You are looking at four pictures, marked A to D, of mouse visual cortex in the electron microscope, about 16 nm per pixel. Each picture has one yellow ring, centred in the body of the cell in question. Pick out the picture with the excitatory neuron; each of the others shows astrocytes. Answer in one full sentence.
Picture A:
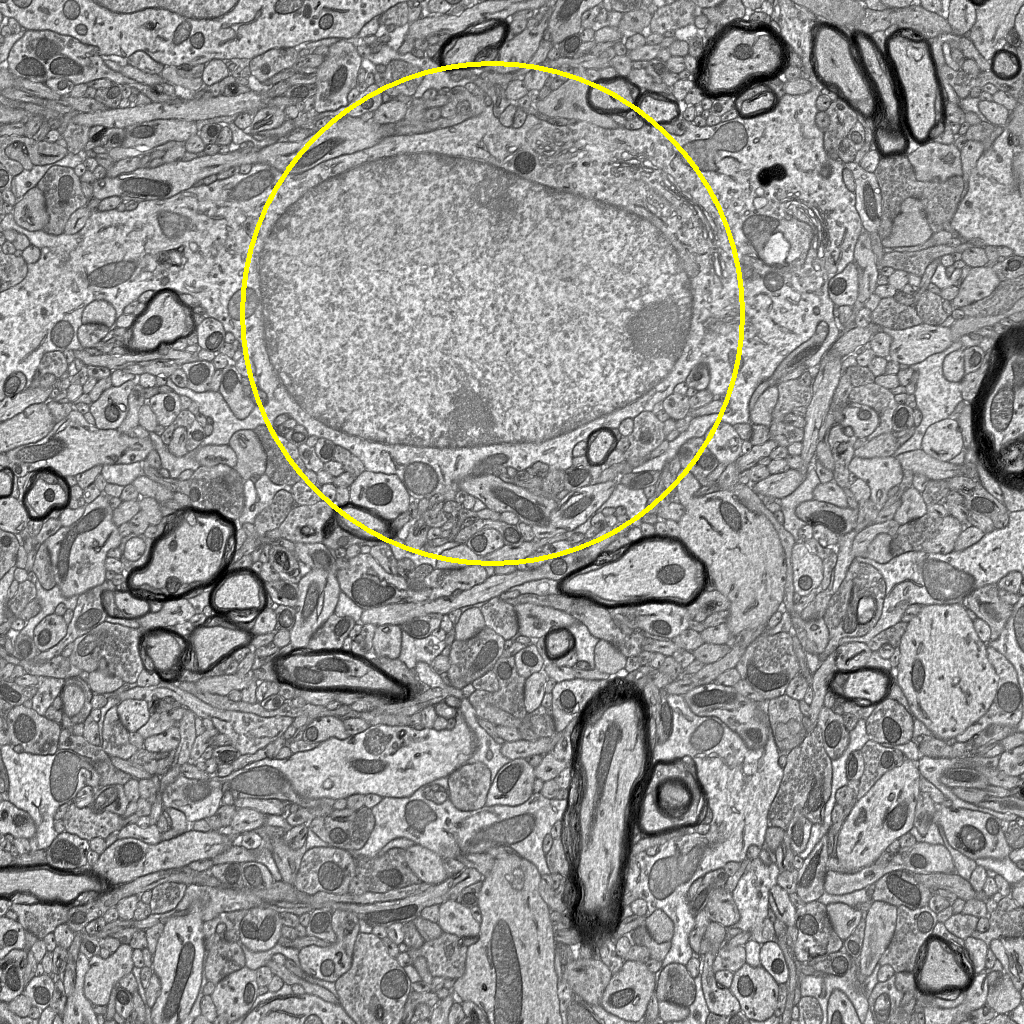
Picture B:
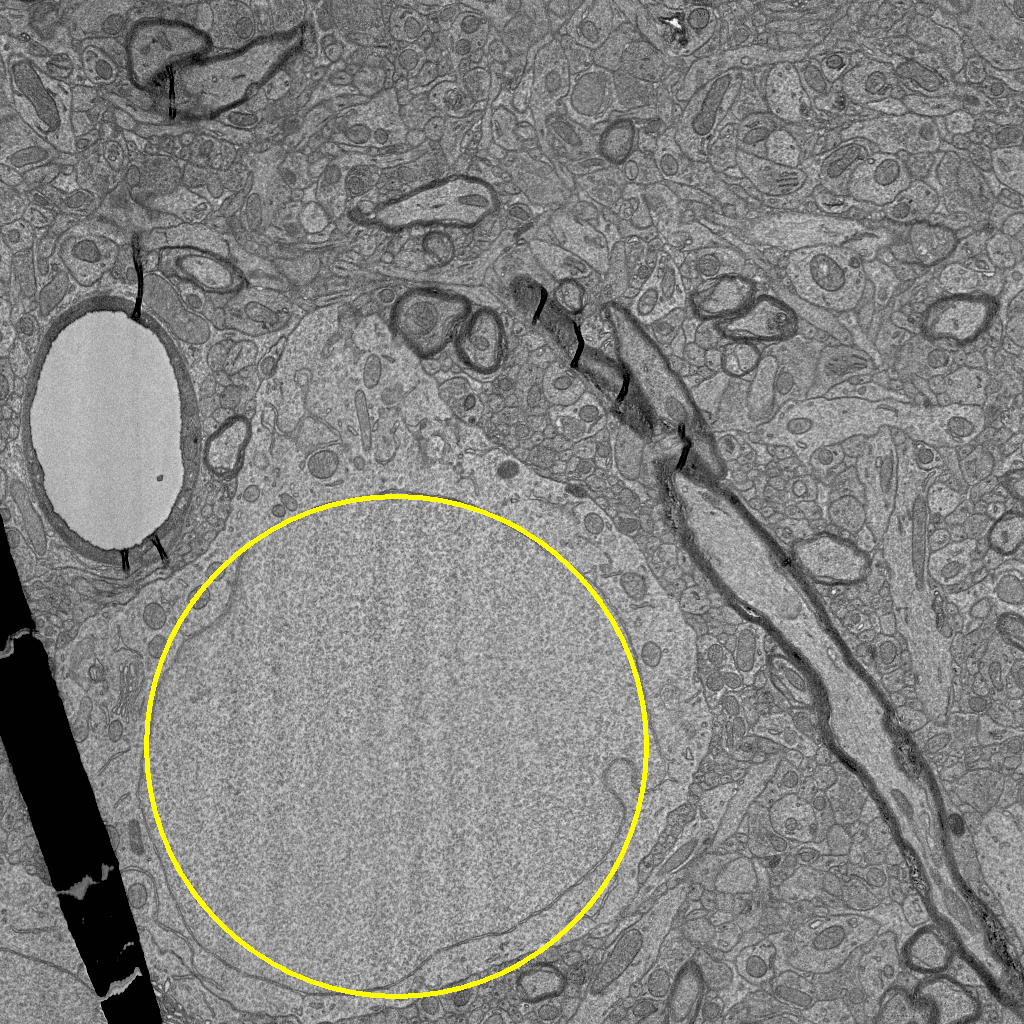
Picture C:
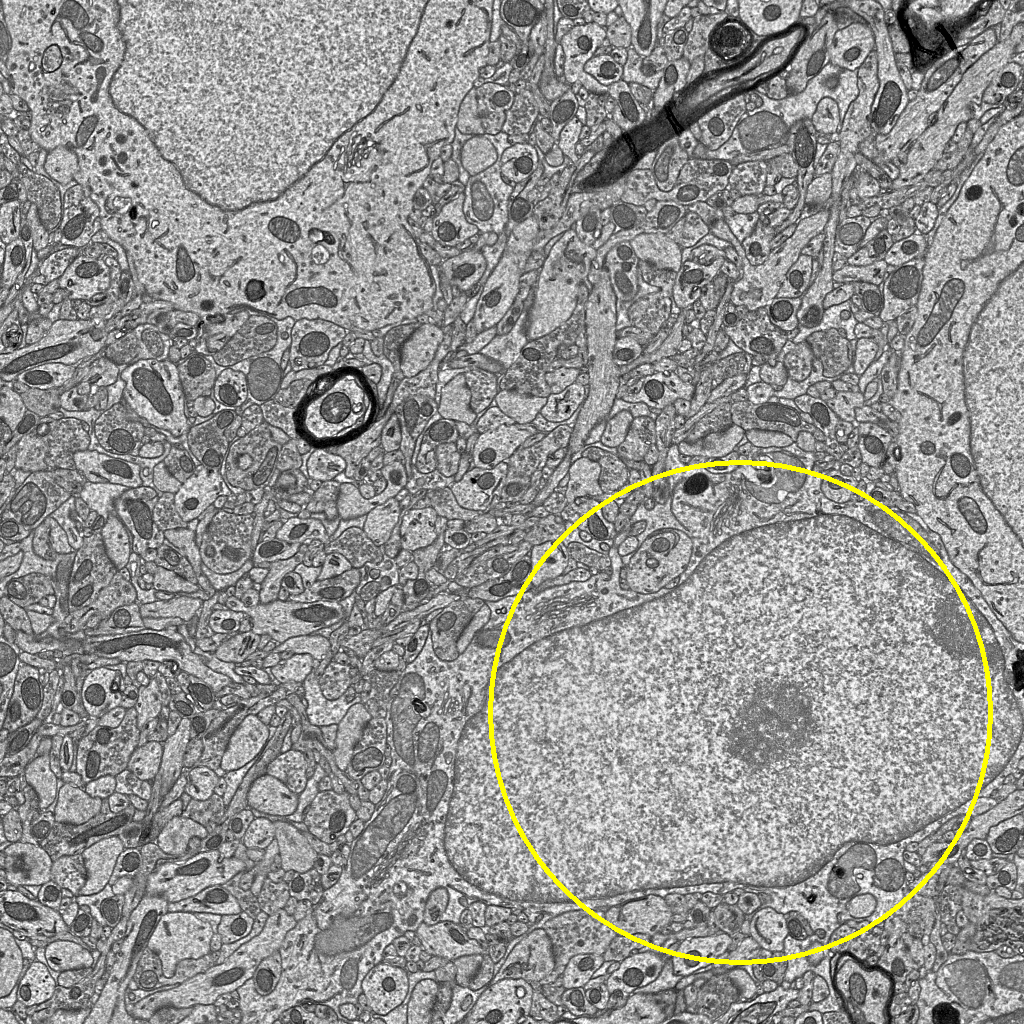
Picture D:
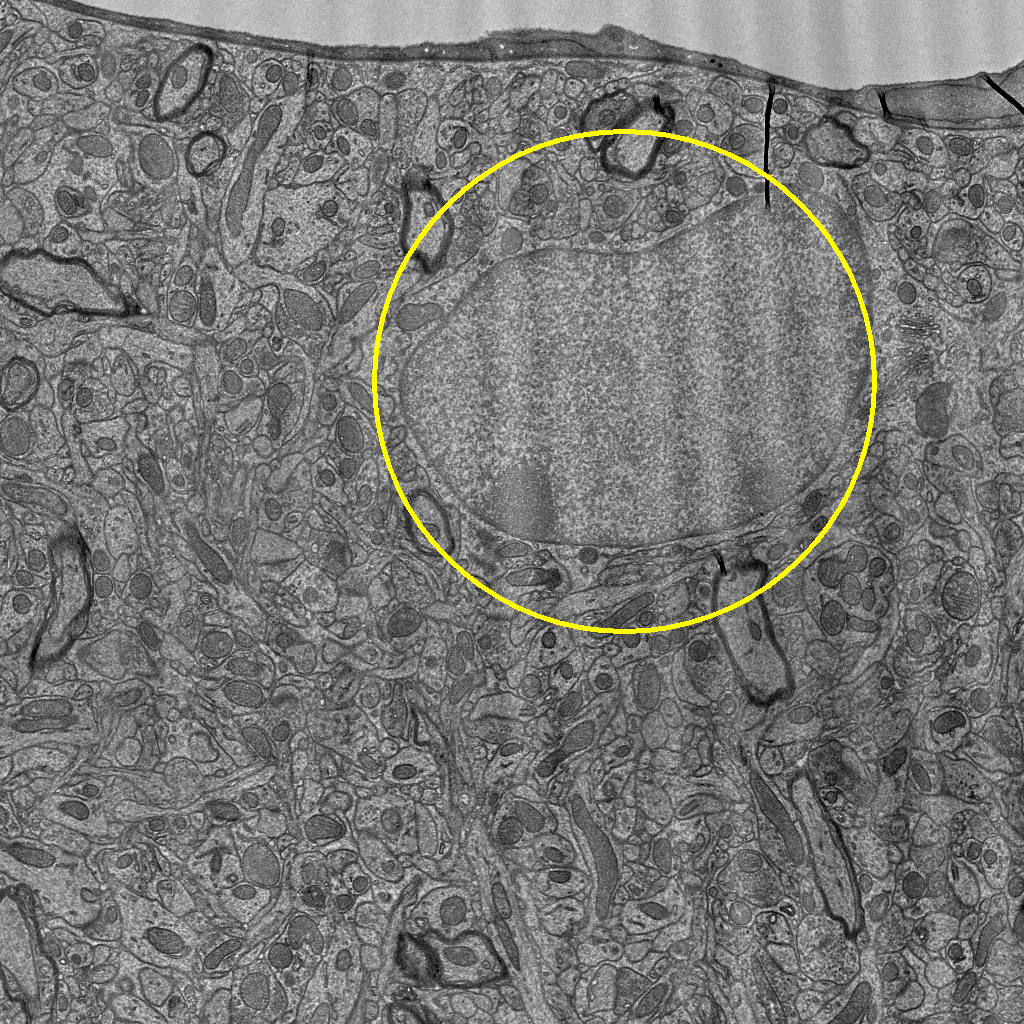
The cell in picture B is the excitatory neuron.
